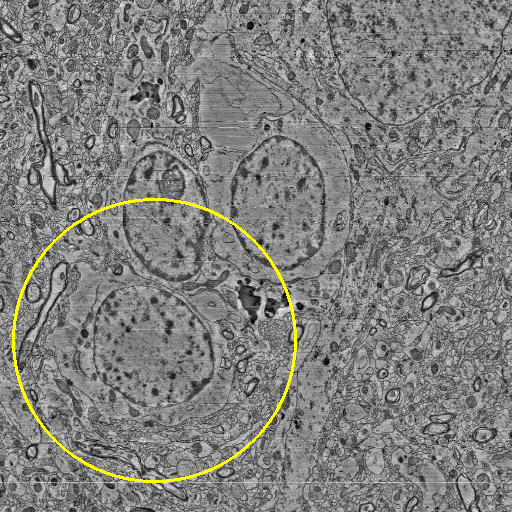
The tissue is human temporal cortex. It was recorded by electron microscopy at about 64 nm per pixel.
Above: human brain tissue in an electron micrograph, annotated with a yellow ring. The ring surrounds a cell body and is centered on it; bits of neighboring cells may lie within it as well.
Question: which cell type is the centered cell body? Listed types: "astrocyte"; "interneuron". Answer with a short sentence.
The centered cell body is an astrocyte.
